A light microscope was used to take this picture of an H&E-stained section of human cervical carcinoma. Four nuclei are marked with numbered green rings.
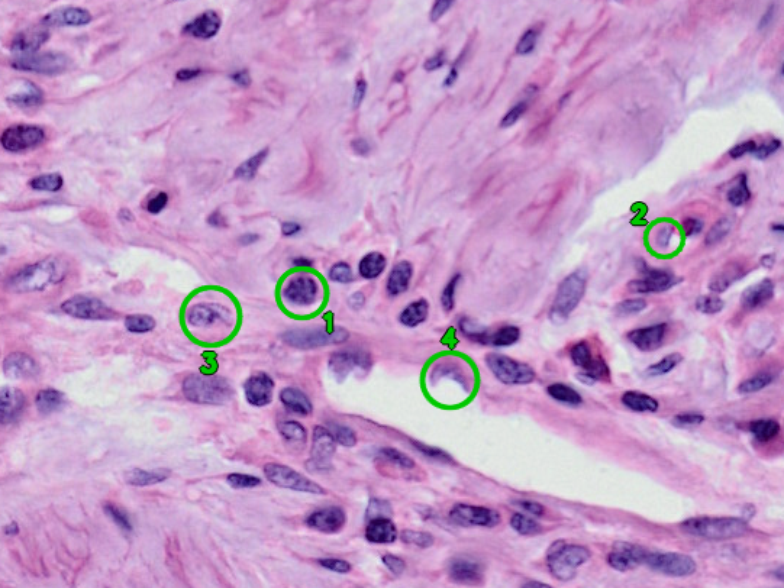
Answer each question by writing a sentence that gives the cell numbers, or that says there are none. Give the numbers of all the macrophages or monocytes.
Cell 3 is a macrophage or monocyte, and it is the only numbered cell that is.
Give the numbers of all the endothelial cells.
The cells labelled 2 and 4 in this section are endothelial cells.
